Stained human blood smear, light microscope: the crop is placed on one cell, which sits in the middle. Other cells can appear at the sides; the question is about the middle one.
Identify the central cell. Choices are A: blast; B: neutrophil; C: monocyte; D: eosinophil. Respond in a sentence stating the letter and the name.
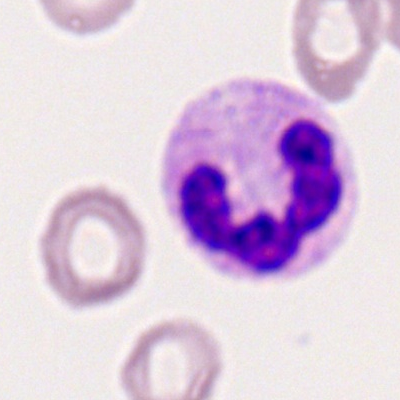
The centered cell is a neutrophil, which is why option B is right.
